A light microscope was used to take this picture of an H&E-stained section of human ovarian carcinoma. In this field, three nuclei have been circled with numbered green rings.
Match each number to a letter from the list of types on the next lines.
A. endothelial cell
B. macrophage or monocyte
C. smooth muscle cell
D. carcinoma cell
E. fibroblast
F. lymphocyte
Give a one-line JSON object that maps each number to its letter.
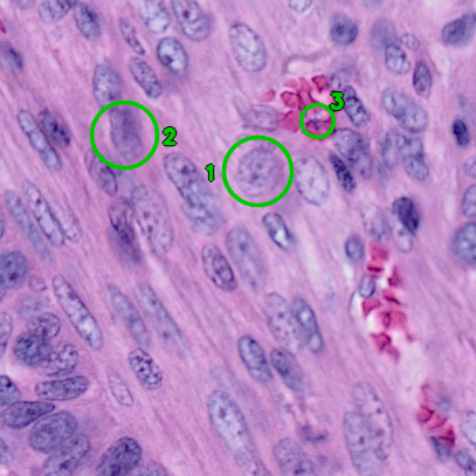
{"1": "E", "2": "E", "3": "A"}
